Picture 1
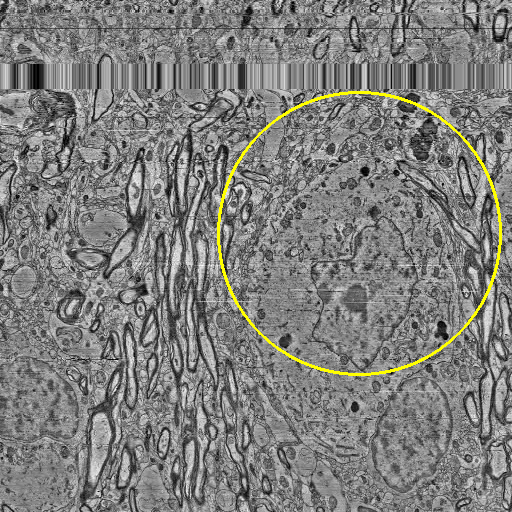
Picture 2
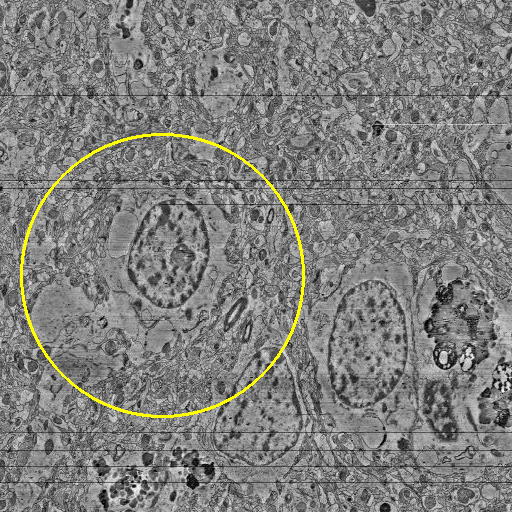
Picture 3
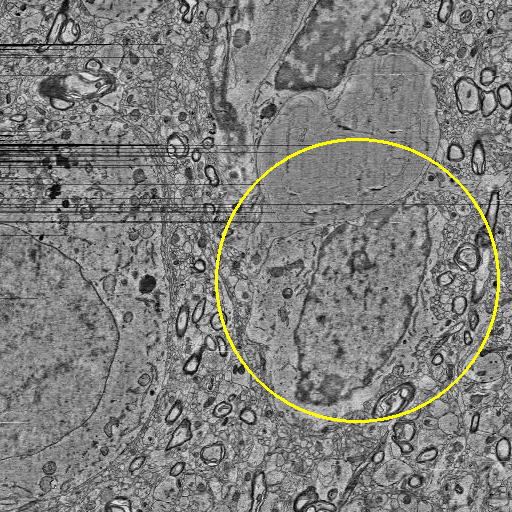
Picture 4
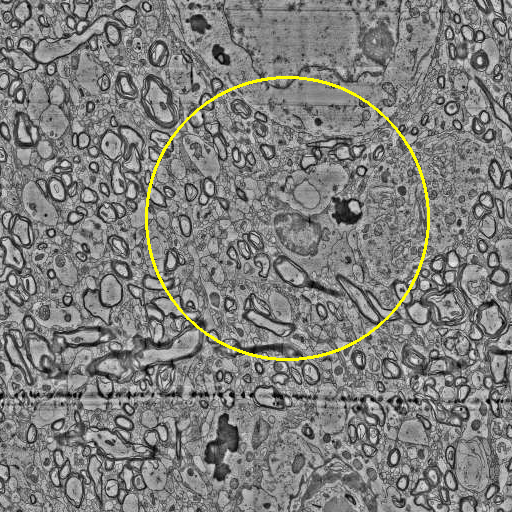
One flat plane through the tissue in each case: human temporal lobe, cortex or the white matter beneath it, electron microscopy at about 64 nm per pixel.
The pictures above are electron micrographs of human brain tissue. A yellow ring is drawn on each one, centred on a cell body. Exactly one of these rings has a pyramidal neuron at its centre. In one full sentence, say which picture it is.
Picture 1 has it at the centre of its ring.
